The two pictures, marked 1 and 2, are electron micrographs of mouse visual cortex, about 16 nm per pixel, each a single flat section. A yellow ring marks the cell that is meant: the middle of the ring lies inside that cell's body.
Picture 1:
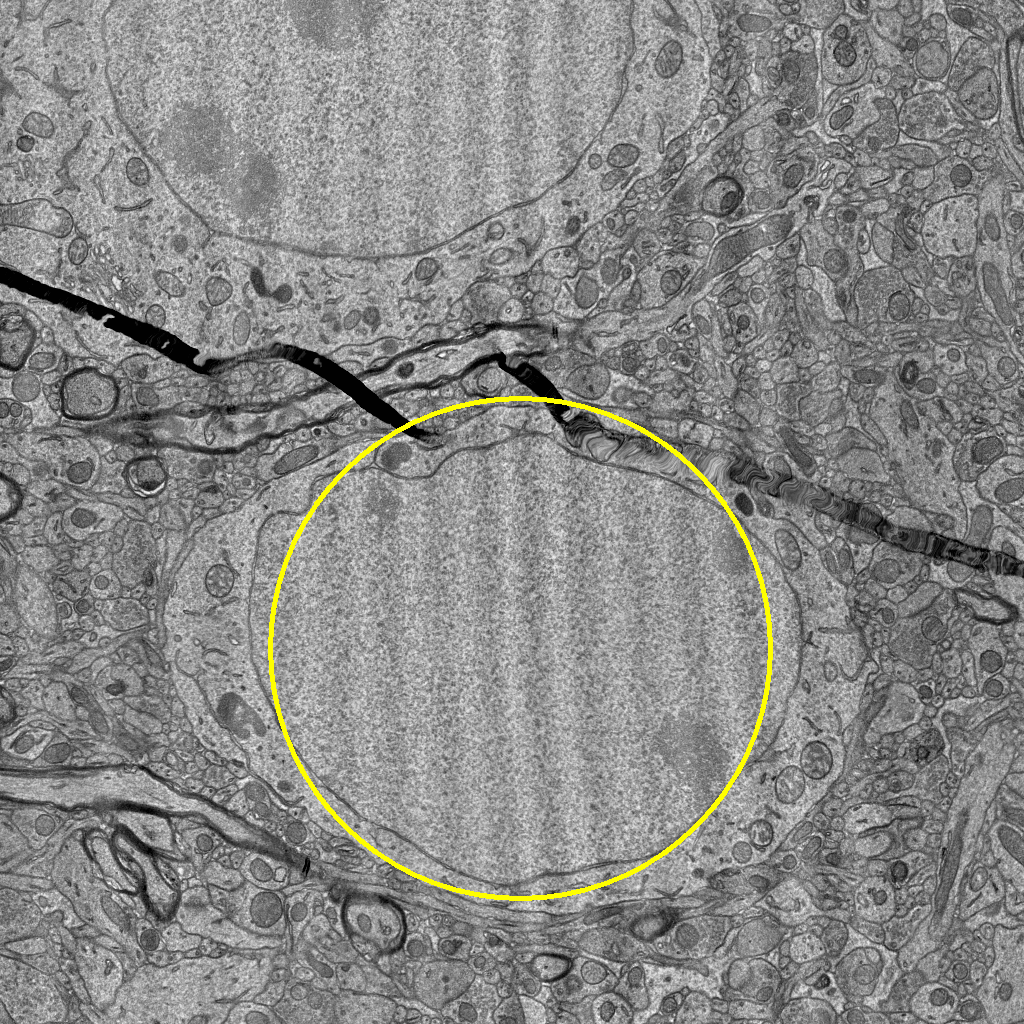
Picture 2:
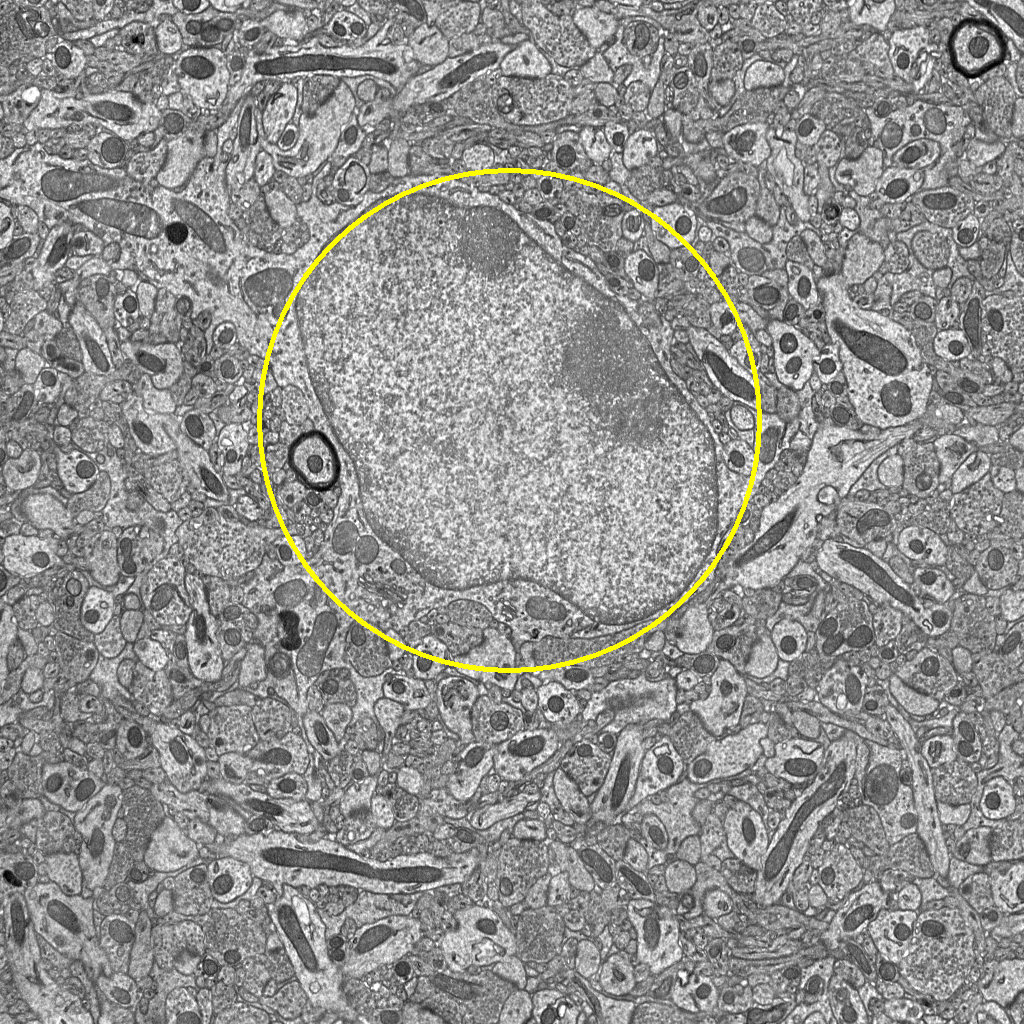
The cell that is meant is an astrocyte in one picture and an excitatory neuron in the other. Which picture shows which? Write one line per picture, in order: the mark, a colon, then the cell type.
1: excitatory neuron
2: astrocyte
